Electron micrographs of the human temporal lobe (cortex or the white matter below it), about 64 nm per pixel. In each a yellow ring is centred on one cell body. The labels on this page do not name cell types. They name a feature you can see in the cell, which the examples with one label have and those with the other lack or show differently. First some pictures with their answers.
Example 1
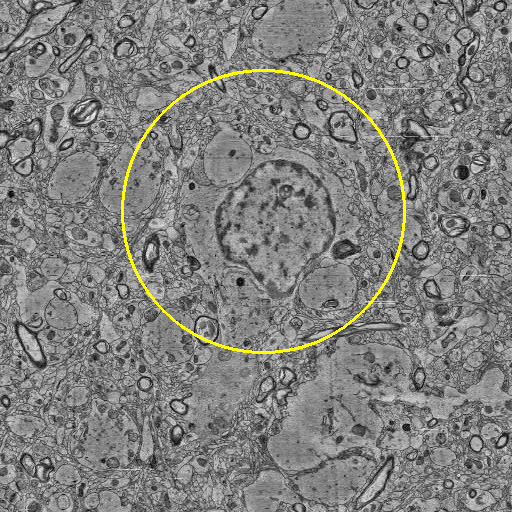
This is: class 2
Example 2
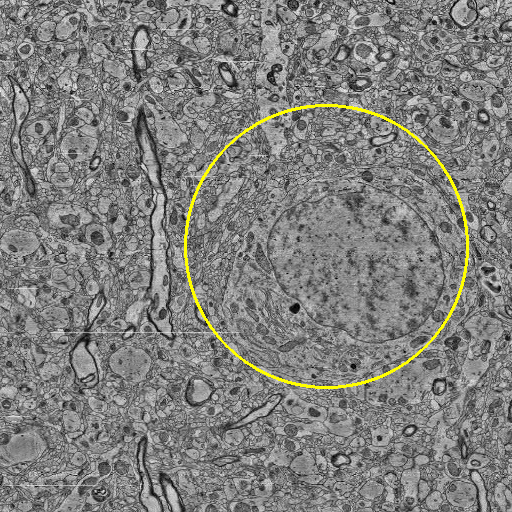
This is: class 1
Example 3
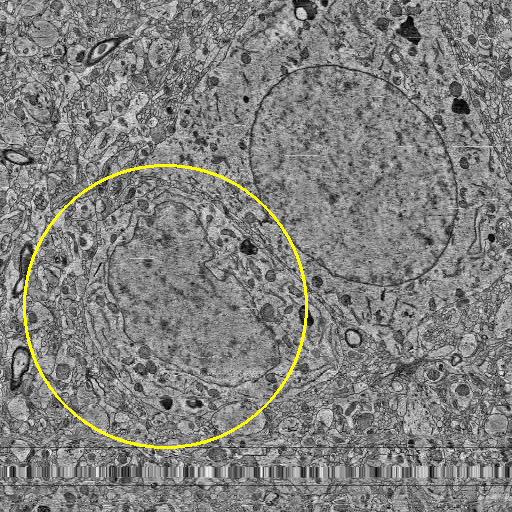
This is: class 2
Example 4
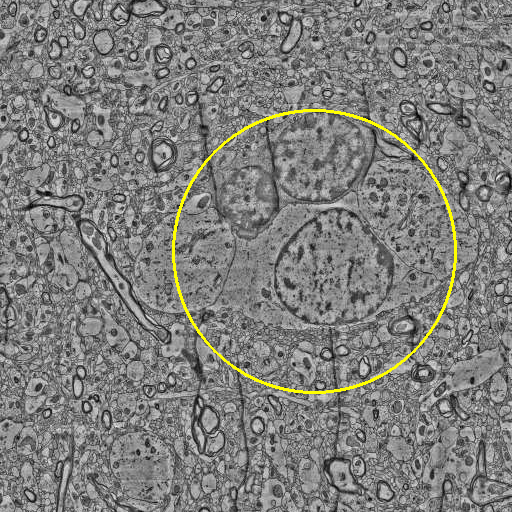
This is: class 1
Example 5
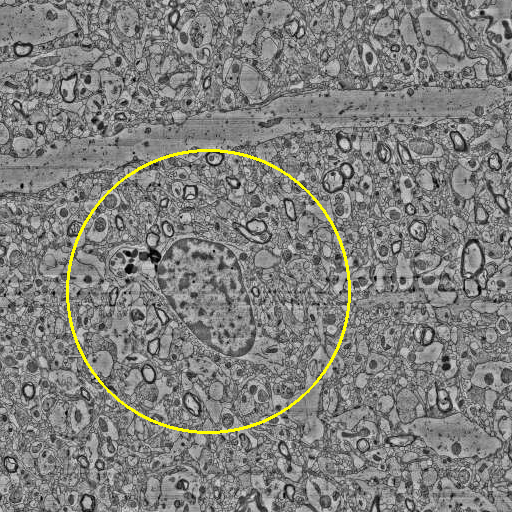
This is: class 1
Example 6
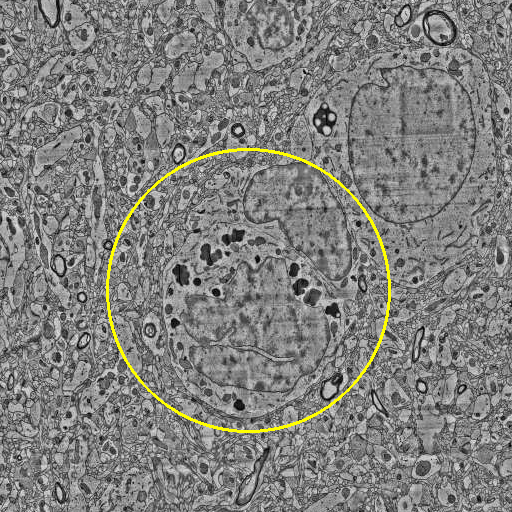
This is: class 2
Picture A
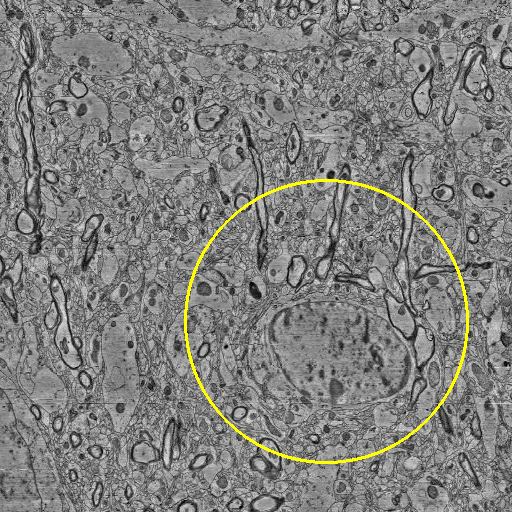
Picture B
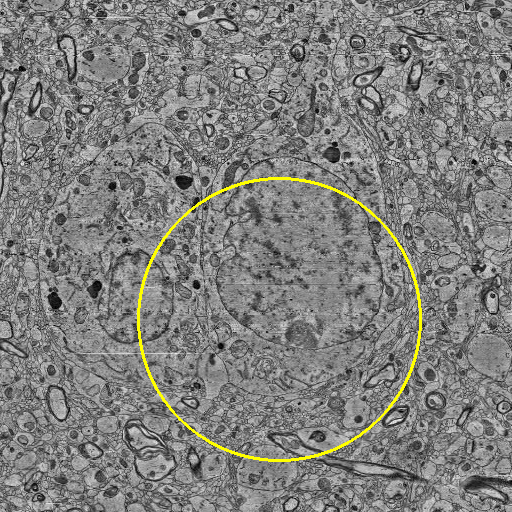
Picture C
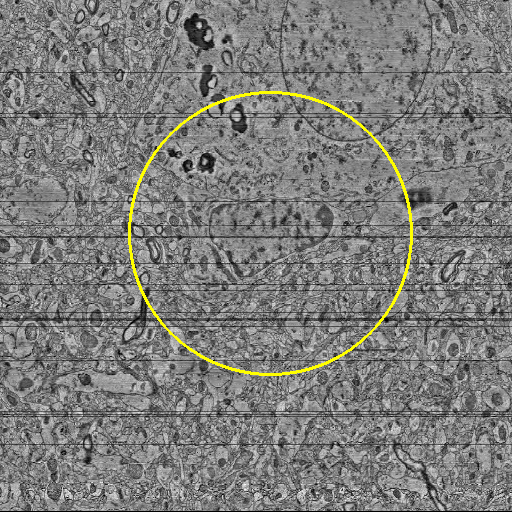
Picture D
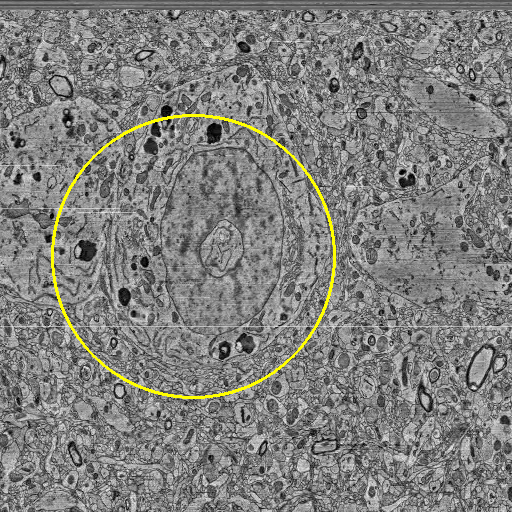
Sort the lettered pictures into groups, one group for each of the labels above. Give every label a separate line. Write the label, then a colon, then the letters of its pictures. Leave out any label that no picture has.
class 2: C
class 1: A, B, D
